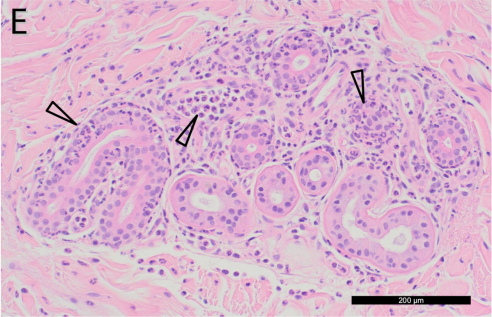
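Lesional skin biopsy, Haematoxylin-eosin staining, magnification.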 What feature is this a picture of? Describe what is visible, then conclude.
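Sweat glands. A cluster of coiled tubules cut in cross-section within dermal collagen. Tubules lined by cuboidal epithelial cells around small round lumina.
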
